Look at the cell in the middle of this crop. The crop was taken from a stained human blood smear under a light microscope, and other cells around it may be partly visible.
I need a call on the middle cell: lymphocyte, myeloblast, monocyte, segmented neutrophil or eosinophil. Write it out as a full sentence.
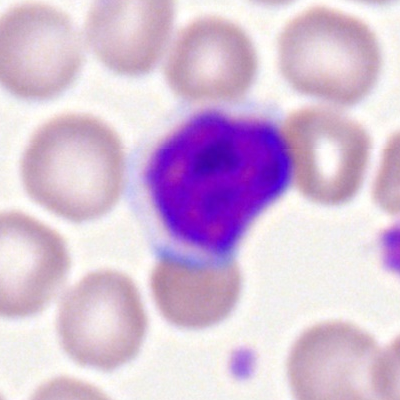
The cell in the middle of this crop is a lymphocyte.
